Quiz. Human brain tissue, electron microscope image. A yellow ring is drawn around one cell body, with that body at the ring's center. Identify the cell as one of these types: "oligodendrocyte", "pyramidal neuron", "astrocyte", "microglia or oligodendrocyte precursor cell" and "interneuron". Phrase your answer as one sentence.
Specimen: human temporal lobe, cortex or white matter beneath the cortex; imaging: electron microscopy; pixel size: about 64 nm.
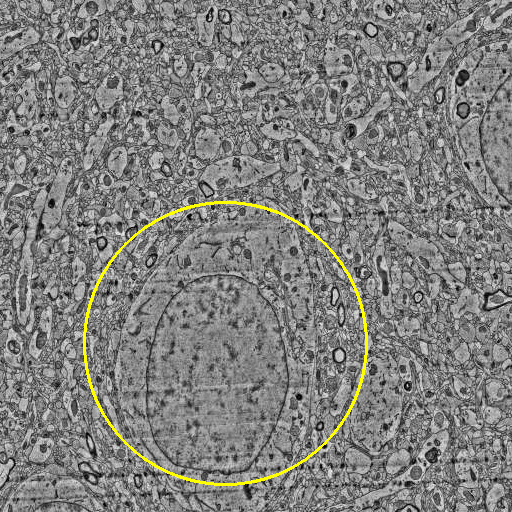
At the center of the ring sits a pyramidal neuron.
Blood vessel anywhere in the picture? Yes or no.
No, the picture includes no blood vessel.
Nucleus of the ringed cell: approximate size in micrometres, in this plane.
About 13 by 9 micrometers for the nucleus, in this plane.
